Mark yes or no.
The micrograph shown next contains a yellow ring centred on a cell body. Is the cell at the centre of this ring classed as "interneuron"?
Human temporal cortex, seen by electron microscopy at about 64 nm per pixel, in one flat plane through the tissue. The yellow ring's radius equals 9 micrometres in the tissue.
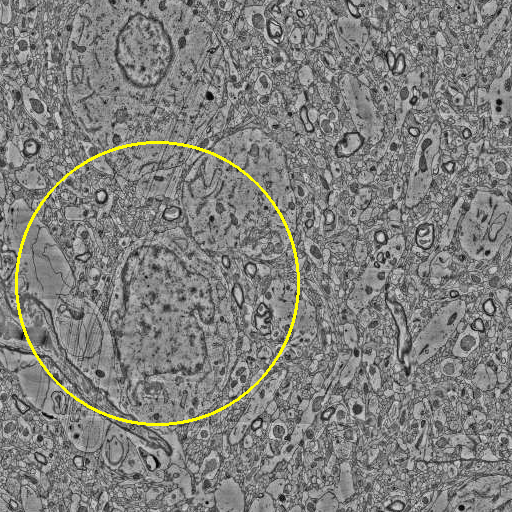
yes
